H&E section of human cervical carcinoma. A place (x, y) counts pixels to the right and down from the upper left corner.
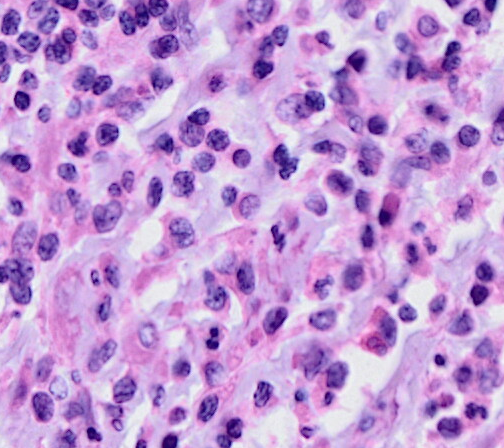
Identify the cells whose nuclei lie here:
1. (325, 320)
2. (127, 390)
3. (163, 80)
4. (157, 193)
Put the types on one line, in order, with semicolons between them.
macrophage or monocyte; lymphocyte; lymphocyte; lymphocyte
